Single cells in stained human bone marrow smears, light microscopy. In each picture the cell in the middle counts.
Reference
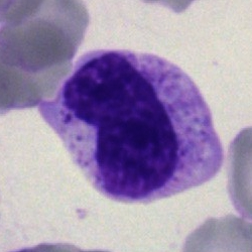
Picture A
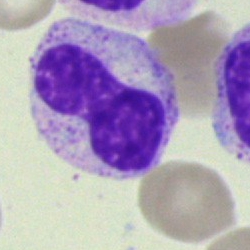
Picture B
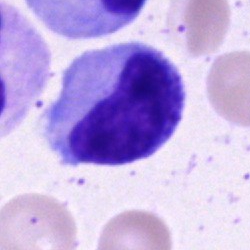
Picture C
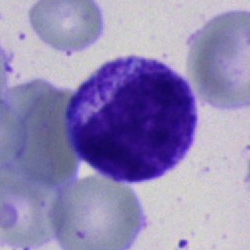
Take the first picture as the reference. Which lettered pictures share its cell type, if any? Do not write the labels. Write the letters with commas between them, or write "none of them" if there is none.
B, C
